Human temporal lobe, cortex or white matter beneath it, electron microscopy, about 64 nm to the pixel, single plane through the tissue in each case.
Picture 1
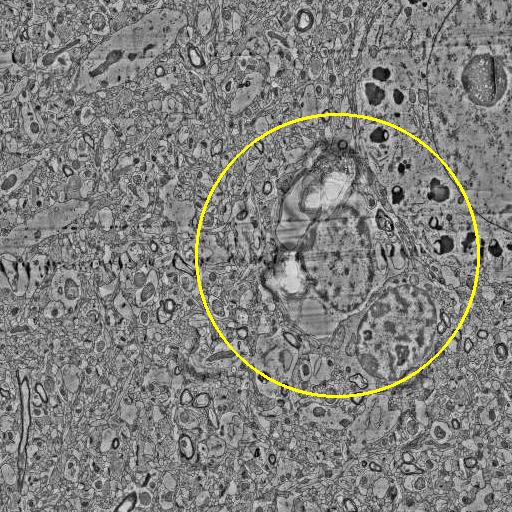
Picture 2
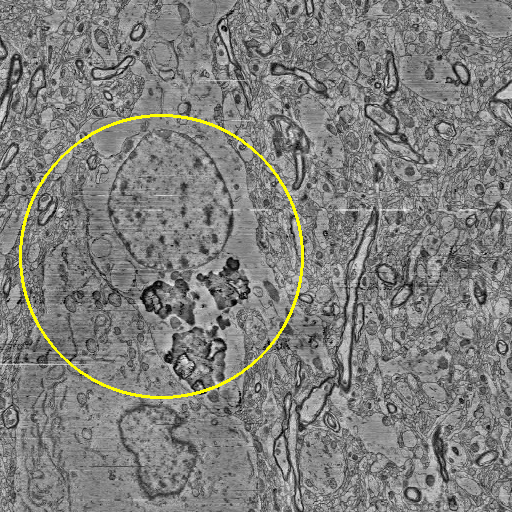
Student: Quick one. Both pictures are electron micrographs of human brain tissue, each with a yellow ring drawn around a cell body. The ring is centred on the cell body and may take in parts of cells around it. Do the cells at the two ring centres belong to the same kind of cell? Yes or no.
yes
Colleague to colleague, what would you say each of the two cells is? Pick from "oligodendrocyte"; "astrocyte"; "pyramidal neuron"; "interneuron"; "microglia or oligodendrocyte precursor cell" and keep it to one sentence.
Each of the ringed cells, first and second, is an astrocyte.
